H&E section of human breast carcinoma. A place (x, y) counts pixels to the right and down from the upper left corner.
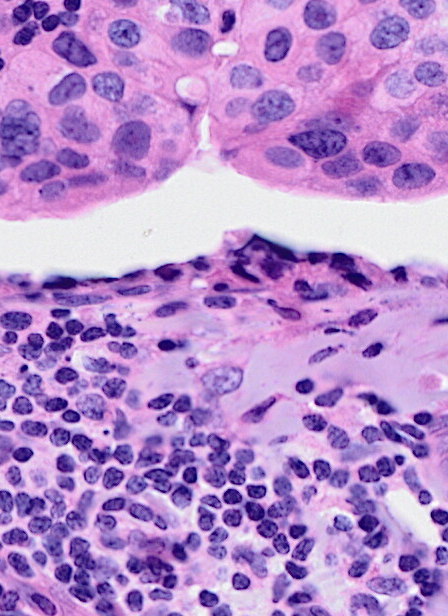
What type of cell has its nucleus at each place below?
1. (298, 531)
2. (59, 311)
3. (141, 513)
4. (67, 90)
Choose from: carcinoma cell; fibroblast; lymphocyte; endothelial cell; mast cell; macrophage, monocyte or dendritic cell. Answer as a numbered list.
1. lymphocyte
2. lymphocyte
3. lymphocyte
4. carcinoma cell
